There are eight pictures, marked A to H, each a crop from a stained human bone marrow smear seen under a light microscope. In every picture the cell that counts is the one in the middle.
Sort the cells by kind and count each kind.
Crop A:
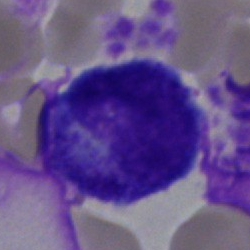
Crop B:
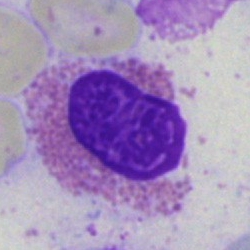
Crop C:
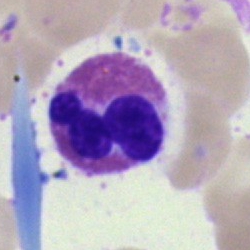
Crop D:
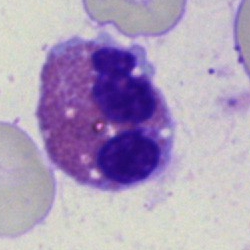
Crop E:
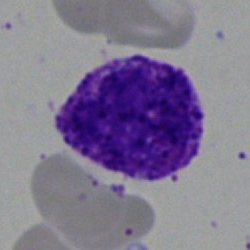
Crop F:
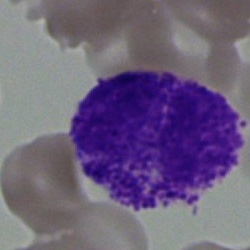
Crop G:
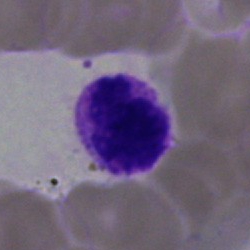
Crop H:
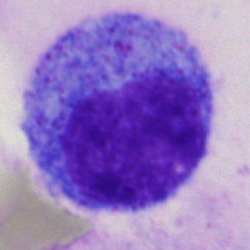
eosinophil: 3
basophil: 3
promyelocyte: 2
